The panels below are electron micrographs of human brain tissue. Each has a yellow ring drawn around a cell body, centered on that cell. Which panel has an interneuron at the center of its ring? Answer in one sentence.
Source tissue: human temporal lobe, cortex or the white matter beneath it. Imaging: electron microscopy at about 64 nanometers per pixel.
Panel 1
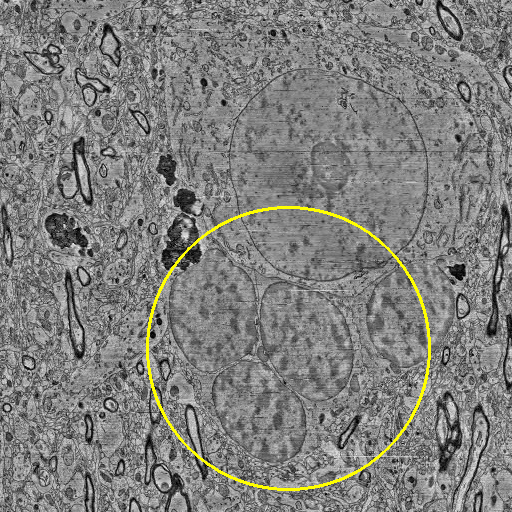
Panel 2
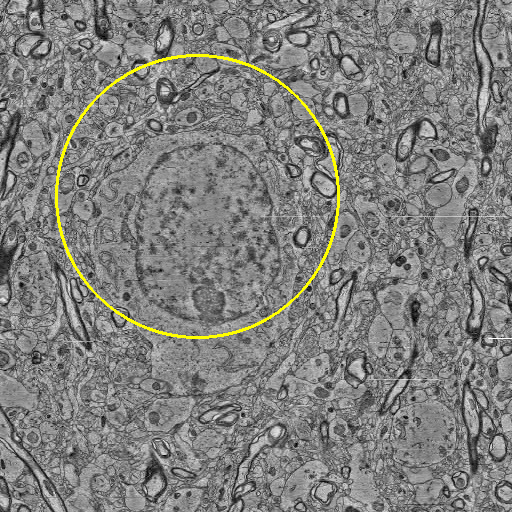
Panel 2 has it at the center of its ring.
